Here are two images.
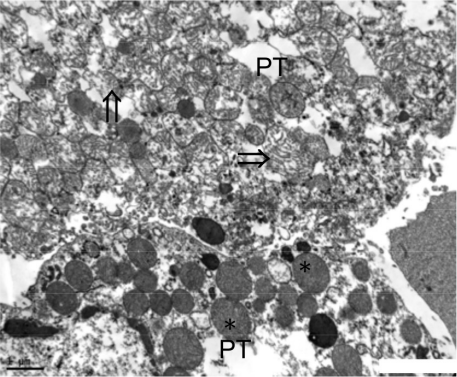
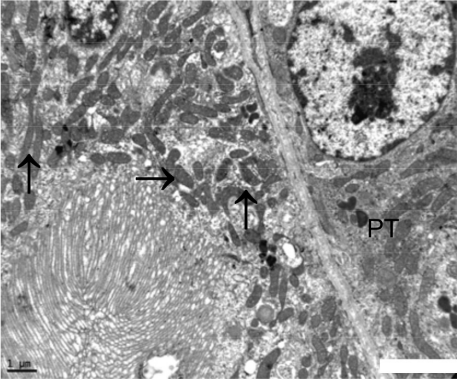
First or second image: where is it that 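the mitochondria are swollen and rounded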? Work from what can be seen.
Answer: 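First image: many mitochondria are round and enlarged, some pale with lost cristae.
Answer: the first image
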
